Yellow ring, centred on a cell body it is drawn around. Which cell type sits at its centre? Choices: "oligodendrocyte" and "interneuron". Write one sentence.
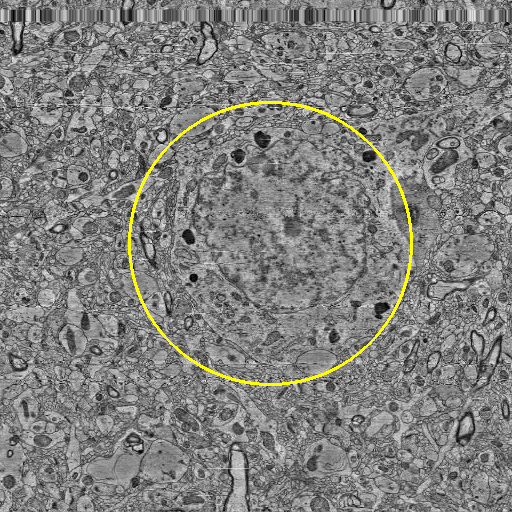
At the centre of the ring sits an interneuron.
